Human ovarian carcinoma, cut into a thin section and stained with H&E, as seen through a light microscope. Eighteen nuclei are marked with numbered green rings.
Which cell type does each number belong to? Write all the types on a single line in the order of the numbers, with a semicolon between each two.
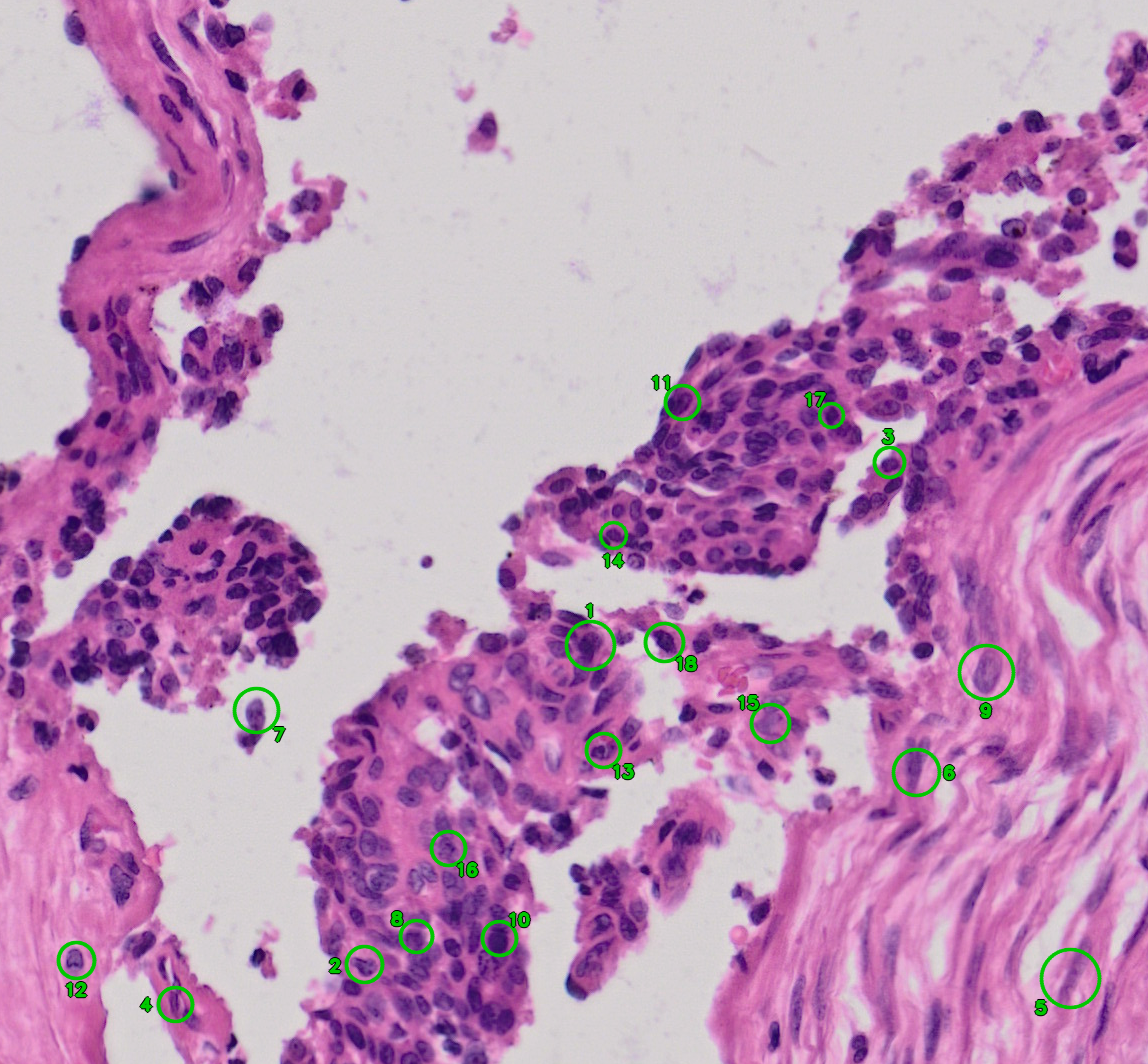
carcinoma cell; macrophage or monocyte; carcinoma cell; endothelial cell; fibroblast; fibroblast; carcinoma cell; carcinoma cell; fibroblast; carcinoma cell; carcinoma cell; macrophage or monocyte; endothelial cell; carcinoma cell; endothelial cell; carcinoma cell; carcinoma cell; macrophage or monocyte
